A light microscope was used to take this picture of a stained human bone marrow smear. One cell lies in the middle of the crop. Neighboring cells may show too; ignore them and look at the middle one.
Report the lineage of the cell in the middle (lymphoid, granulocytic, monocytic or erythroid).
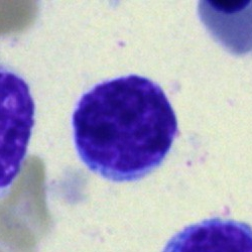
lymphoid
